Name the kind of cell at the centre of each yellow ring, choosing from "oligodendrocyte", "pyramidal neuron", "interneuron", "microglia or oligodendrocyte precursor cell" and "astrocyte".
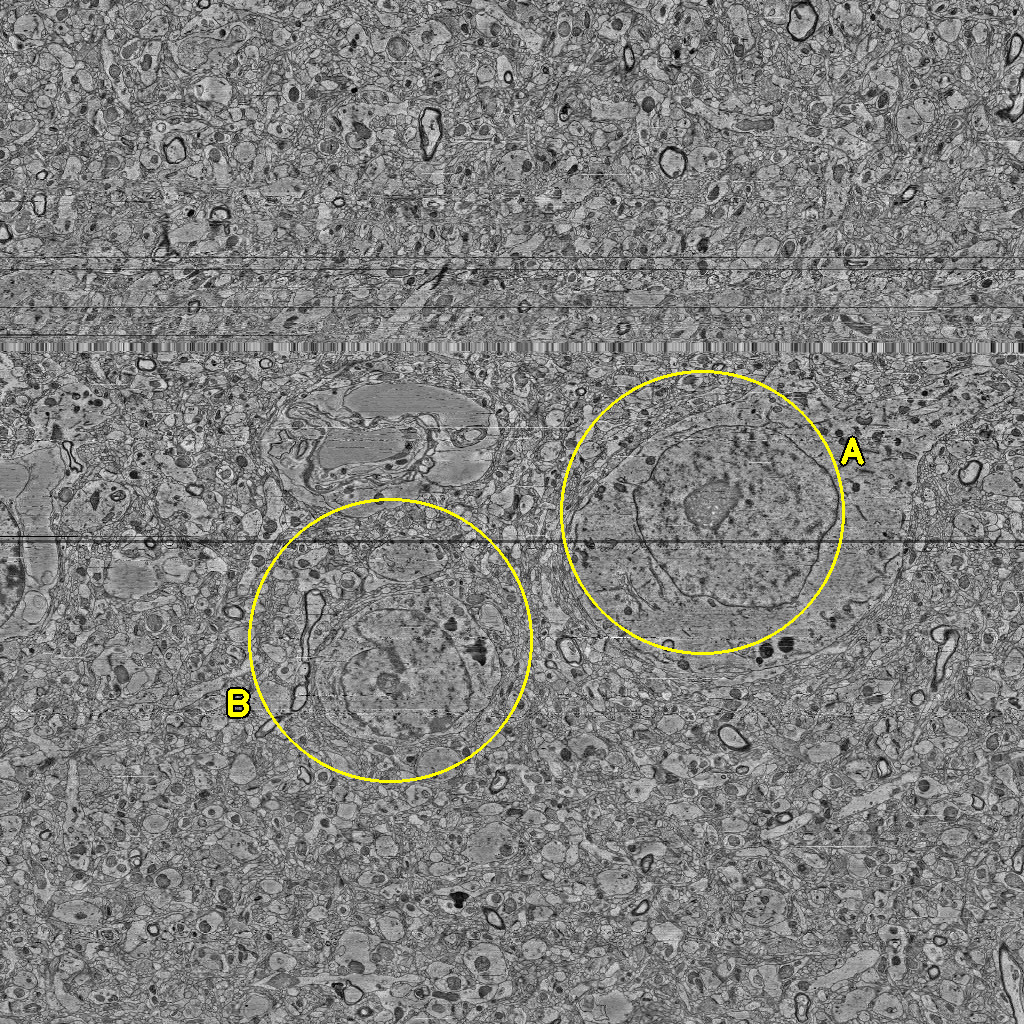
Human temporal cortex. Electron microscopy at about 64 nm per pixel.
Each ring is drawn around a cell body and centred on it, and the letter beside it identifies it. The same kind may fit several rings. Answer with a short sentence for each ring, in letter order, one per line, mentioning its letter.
Ring A is drawn around a pyramidal neuron.
Ring B is drawn around an interneuron.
